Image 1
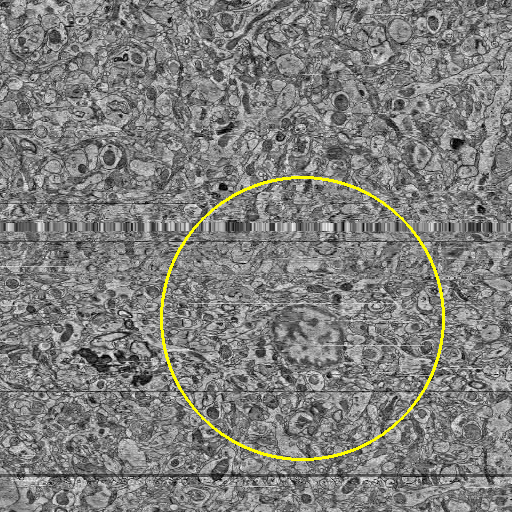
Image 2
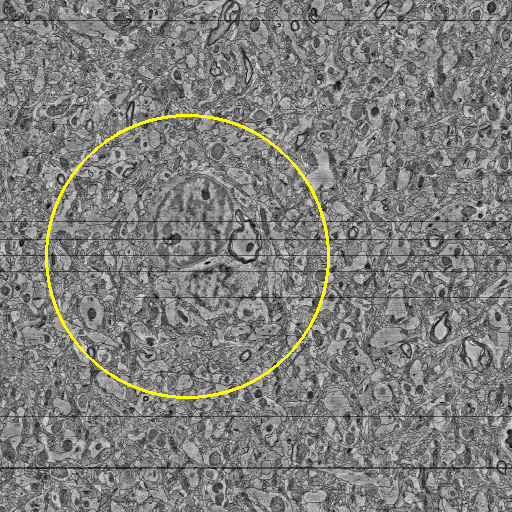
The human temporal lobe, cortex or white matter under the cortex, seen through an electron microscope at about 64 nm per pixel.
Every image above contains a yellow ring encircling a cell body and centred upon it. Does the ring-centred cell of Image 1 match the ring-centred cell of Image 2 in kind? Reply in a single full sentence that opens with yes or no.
Yes, the cell at the ring's centre in Image 1 is the same kind as that in Image 2.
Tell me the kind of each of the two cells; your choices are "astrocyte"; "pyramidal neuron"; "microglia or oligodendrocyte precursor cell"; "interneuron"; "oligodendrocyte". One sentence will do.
Each cell, in the first picture and the second, is an oligodendrocyte.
